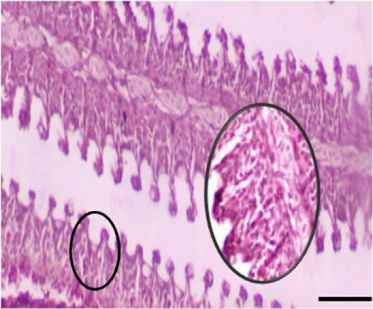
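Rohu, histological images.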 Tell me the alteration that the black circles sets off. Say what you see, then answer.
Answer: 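Hyperplasia in epithelium and complete fusion of secondary lamellae. Within the circles the spaces between the lamellae are filled with densely packed cells. The enlarged circle shows a solid mass of cells rather than separate lamellae.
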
